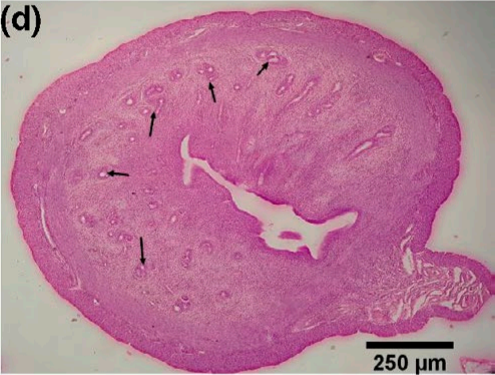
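Cross-section of uterus with an irregular, branched central lumen within a broad pink stroma. Numerous small round glands are scattered through the stroma, some in radial rows, and an outer muscular layer encircles the section.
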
